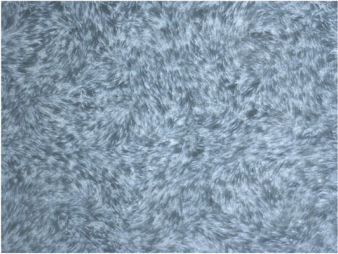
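This is a confluent monolayer of cultured fibroblasts seen at low magnification in bright field, without stain. The cells are long, thin and spindle-shaped and cover the dish densely with hardly any free spaces between them. Neighbouring cells lie parallel to one another in streams, forming patches of shared orientation that meet other patches at different angles, so the sheet has a swirling, wavy pattern.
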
